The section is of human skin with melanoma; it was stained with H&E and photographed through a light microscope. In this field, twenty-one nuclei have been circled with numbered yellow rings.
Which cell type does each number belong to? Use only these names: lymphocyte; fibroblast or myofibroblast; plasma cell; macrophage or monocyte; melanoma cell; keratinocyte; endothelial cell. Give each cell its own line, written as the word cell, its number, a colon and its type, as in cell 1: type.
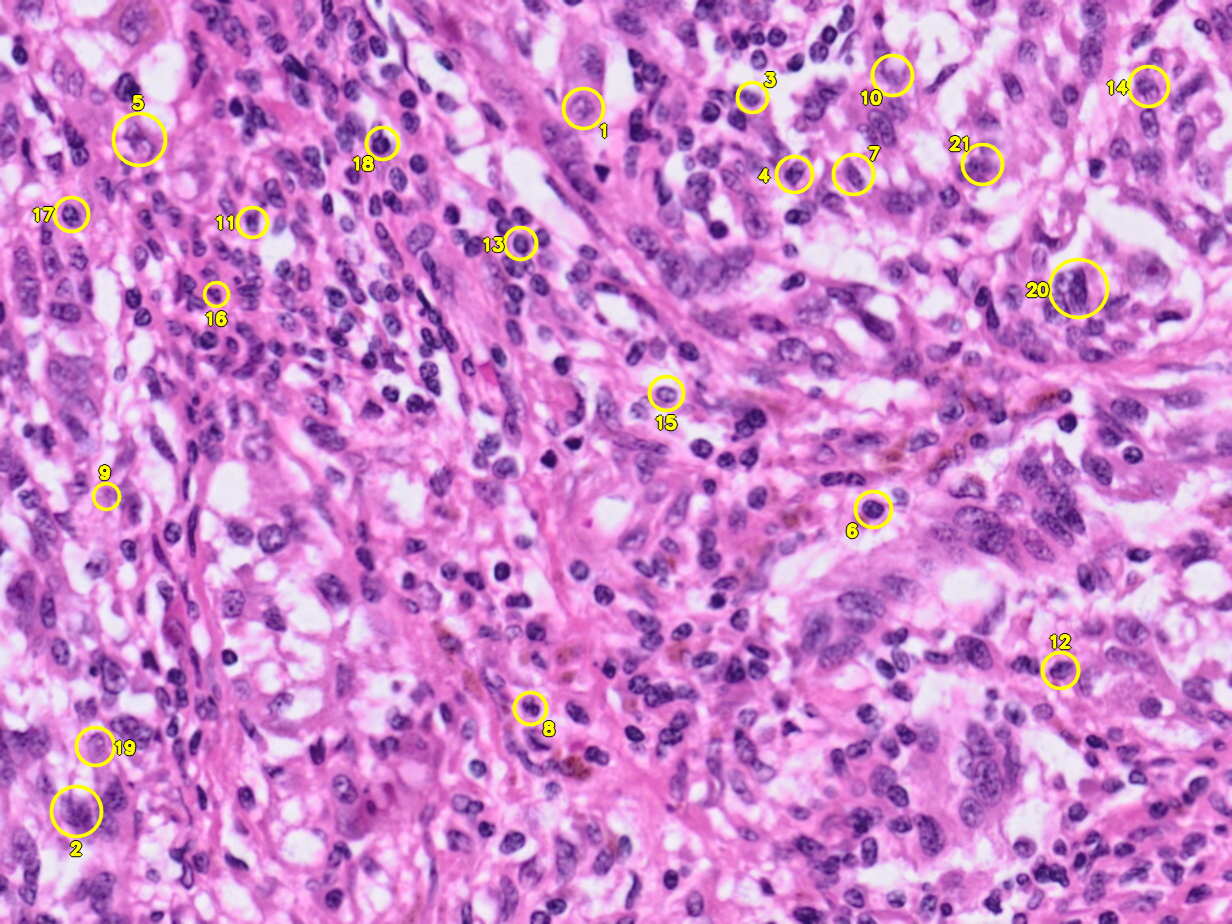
cell 1: melanoma cell
cell 2: melanoma cell
cell 3: lymphocyte
cell 4: lymphocyte
cell 5: melanoma cell
cell 6: lymphocyte
cell 7: melanoma cell
cell 8: lymphocyte
cell 9: melanoma cell
cell 10: melanoma cell
cell 11: lymphocyte
cell 12: lymphocyte
cell 13: lymphocyte
cell 14: melanoma cell
cell 15: lymphocyte
cell 16: lymphocyte
cell 17: lymphocyte
cell 18: lymphocyte
cell 19: melanoma cell
cell 20: melanoma cell
cell 21: melanoma cell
